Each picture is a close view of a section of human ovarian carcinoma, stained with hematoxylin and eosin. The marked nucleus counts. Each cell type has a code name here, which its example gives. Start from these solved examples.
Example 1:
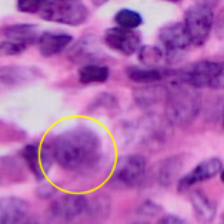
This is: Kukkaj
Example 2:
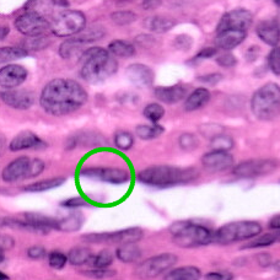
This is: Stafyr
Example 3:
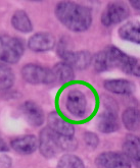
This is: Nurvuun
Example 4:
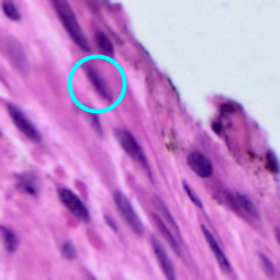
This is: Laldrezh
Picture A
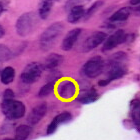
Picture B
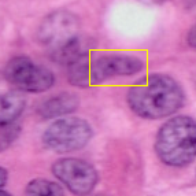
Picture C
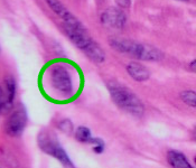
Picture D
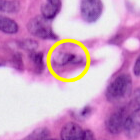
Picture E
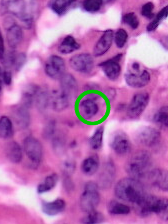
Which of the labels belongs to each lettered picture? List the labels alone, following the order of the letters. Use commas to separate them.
Kukkaj, Kukkaj, Laldrezh, Nurvuun, Nurvuun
